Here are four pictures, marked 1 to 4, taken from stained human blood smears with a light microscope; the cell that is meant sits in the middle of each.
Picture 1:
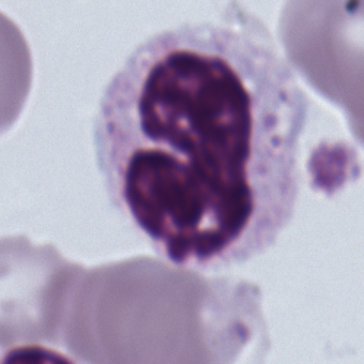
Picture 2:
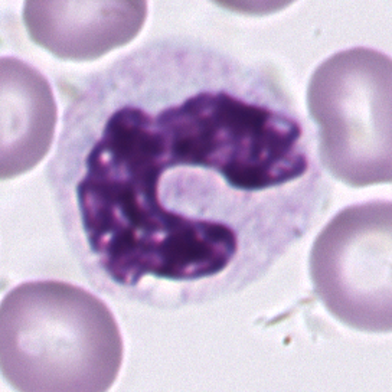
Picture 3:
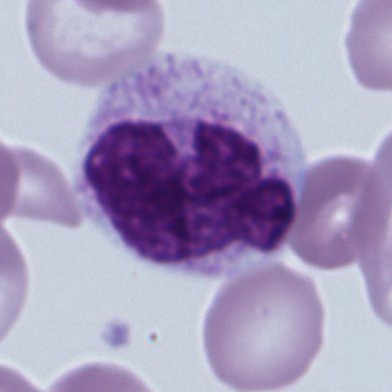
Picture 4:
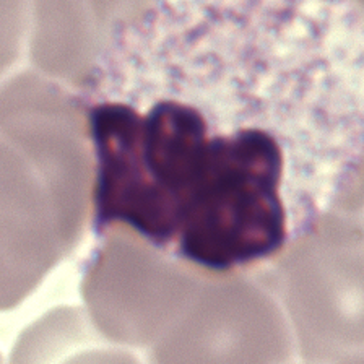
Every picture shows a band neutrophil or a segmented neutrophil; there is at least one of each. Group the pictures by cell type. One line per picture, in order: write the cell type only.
band neutrophil
band neutrophil
segmented neutrophil
segmented neutrophil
